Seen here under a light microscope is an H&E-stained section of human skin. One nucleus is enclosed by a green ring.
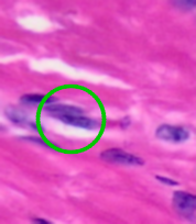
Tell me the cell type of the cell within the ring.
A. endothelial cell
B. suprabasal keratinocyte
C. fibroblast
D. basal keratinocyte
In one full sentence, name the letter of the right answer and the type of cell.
Option A is the one that fits, as the cell within the ring is an endothelial cell.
